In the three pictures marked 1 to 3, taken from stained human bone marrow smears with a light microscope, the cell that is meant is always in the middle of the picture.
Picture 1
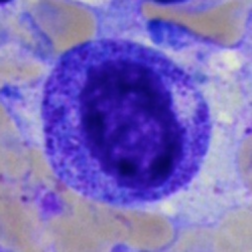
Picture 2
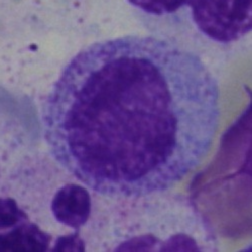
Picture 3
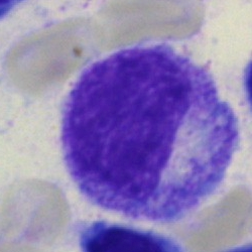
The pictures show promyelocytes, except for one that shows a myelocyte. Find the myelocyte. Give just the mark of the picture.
3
